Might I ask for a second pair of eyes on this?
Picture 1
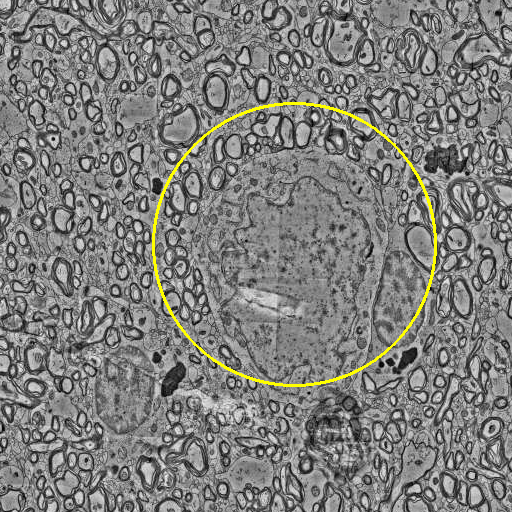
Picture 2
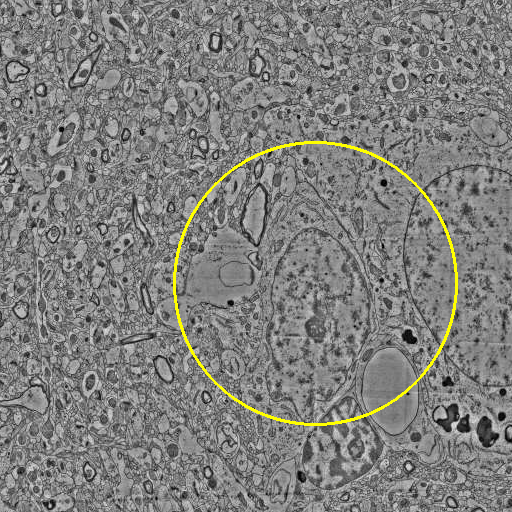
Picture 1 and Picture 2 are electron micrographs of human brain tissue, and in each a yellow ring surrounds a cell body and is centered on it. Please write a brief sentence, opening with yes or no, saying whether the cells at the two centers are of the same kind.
Yes, the cells are of the same kind.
